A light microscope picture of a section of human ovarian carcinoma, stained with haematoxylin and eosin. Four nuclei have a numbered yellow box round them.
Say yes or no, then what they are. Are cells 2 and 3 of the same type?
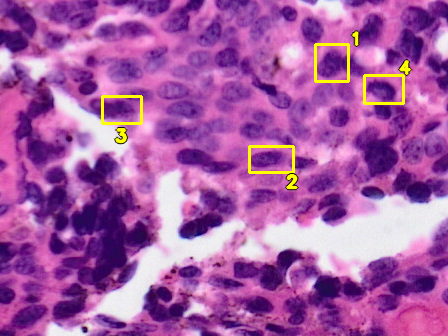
Yes, the cell labelled 2 and the cell labelled 3 are both carcinoma cells.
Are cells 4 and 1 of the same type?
No; cell 4 is a macrophage or monocyte, whereas cell 1 is a carcinoma cell.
